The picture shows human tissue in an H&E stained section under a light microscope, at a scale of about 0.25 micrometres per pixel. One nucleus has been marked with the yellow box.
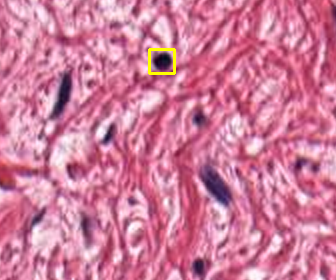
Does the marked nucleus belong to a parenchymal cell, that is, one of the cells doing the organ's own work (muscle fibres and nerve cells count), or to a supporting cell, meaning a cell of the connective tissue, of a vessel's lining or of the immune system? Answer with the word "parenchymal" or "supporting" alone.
supporting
